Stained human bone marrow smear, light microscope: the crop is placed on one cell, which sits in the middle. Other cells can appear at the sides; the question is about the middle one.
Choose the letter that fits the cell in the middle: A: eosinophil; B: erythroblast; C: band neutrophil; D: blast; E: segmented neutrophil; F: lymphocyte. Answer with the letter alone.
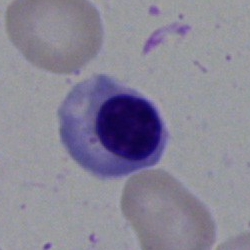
B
